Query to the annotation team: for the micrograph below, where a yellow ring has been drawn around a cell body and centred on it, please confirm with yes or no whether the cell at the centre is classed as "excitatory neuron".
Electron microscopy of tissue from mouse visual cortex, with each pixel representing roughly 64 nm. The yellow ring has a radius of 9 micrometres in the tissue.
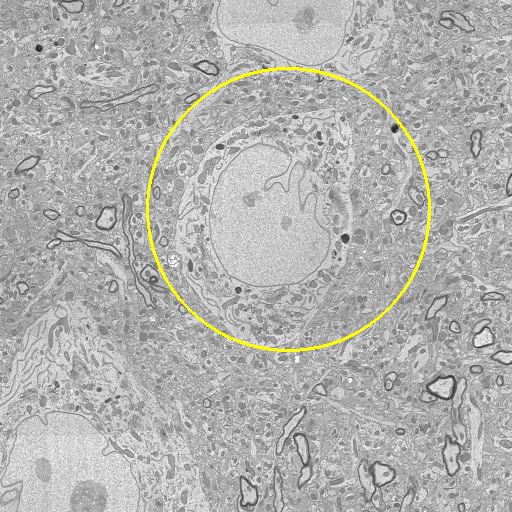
No, it belongs to another class.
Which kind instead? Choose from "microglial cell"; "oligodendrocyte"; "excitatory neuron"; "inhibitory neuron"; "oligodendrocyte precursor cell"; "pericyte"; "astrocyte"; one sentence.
Instead, what sits at the centre of the ring is an inhibitory neuron.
